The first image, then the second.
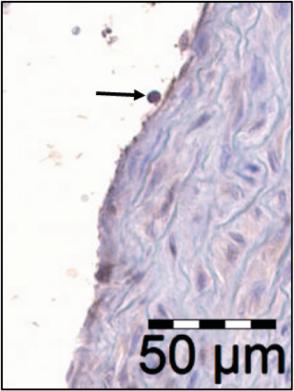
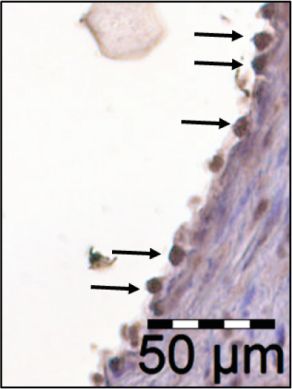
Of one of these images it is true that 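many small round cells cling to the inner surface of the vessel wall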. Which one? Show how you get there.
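The second image. Second image: five arrowed round brown cells line the luminal surface, with further rounded cells along it. First image: a single arrowed round cell sits on the luminal surface.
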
